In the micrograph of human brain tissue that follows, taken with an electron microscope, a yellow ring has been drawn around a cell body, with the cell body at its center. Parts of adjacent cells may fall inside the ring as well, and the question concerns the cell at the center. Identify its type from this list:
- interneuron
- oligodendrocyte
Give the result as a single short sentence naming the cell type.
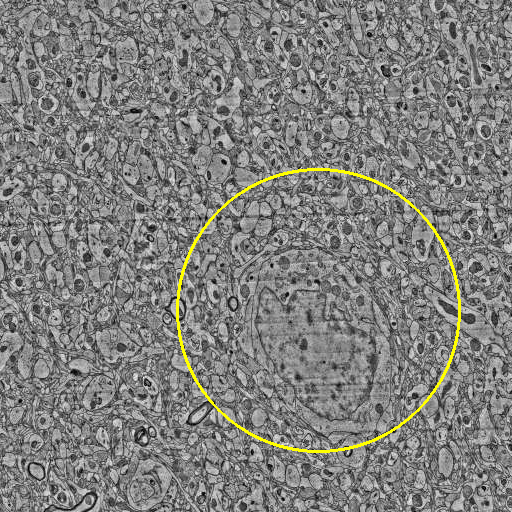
The ring is centered on an interneuron.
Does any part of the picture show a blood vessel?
No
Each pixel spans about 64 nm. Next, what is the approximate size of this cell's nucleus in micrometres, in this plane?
About 9 micrometres by about 6 micrometres in this plane.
